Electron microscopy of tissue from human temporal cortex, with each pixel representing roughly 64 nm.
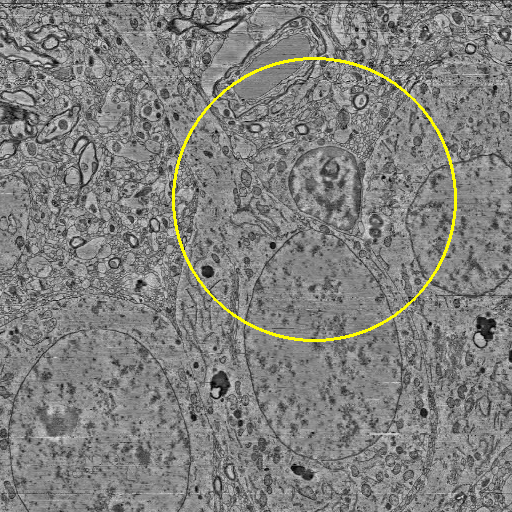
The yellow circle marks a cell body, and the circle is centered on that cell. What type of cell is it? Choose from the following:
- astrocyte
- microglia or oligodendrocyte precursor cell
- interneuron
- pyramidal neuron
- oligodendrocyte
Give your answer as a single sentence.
This cell body belongs to an oligodendrocyte.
